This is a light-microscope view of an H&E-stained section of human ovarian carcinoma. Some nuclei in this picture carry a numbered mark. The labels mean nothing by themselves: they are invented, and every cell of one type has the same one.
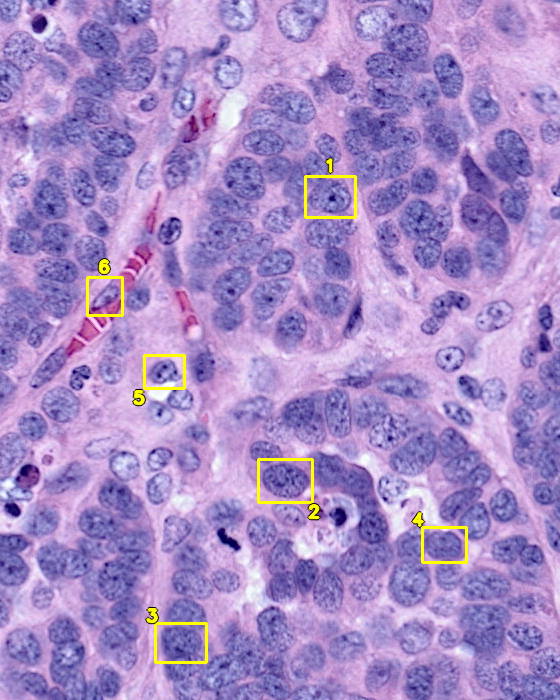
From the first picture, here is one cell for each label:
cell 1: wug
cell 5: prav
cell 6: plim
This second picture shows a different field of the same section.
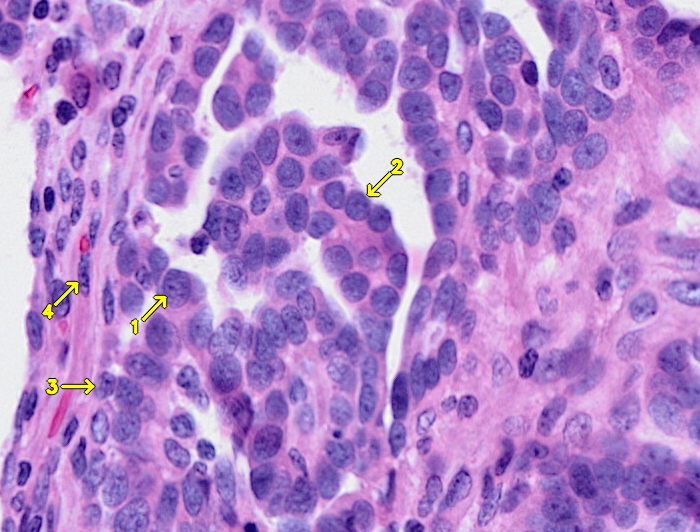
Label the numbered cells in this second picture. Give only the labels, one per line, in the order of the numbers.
wug
wug
prav
plim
